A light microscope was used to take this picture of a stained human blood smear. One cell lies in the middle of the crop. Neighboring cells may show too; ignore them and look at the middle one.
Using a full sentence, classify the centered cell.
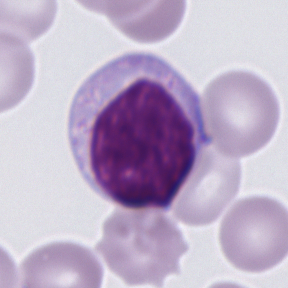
The middle of this crop is occupied by a large granular lymphocyte.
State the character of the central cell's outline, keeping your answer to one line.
If you check the edge, you will find it smooth without projections.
